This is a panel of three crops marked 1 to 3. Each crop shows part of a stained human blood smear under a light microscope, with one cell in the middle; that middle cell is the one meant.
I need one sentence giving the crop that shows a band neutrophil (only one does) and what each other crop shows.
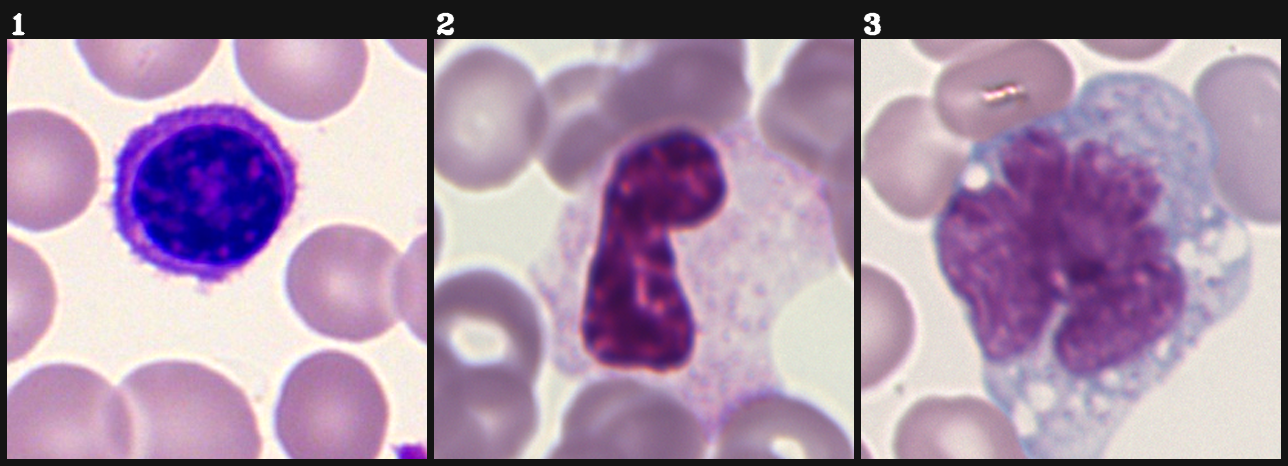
At the centre of crop 2 lies a band neutrophil, while crop 1 is a lymphocyte and crop 3 is a monocyte.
